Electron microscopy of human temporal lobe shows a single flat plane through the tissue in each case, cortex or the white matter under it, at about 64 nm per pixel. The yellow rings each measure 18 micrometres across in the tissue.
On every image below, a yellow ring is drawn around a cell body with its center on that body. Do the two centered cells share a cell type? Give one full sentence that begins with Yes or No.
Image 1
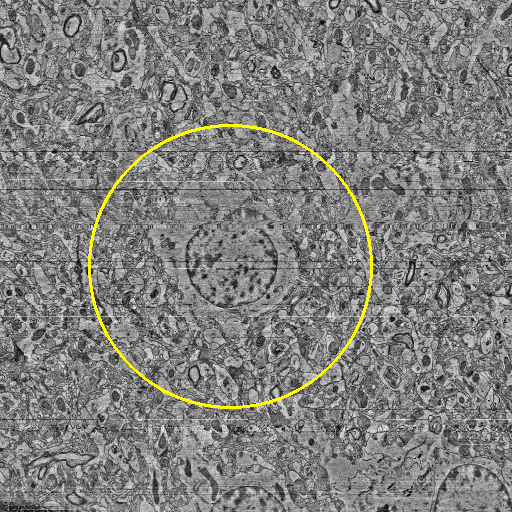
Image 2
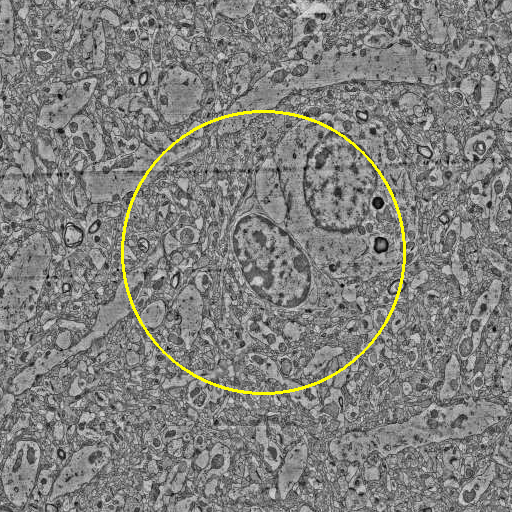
No, the centered cells in the two images are of two separate cell types.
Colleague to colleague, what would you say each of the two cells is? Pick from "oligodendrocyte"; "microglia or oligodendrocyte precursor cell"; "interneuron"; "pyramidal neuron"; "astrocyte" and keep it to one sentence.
The cell in the first picture is an astrocyte; the second picture's cell is a microglial cell or oligodendrocyte precursor cell.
